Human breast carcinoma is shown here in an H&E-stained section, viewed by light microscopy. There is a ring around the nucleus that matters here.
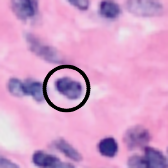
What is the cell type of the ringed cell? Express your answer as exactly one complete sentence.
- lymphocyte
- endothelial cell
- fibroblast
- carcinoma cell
The correct response here is that the ringed cell is a lymphocyte.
